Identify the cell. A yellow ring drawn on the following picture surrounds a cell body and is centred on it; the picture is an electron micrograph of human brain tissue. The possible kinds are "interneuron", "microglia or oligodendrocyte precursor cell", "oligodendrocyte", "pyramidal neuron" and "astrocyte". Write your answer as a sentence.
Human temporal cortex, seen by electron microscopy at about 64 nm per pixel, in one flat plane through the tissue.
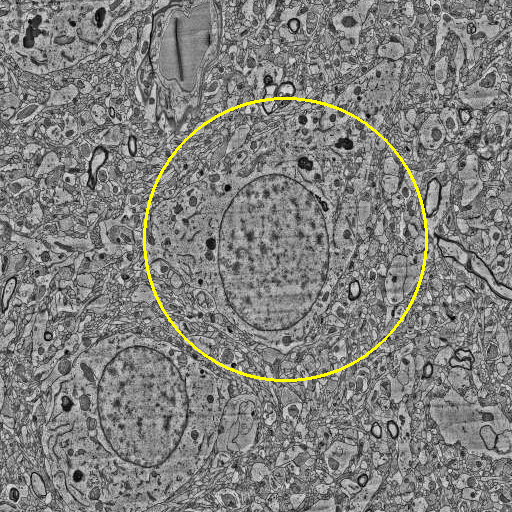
The cell identified by the ring is a pyramidal neuron.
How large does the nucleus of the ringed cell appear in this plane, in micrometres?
The nucleus works out at approximately 10 by 8 micrometres in this plane.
